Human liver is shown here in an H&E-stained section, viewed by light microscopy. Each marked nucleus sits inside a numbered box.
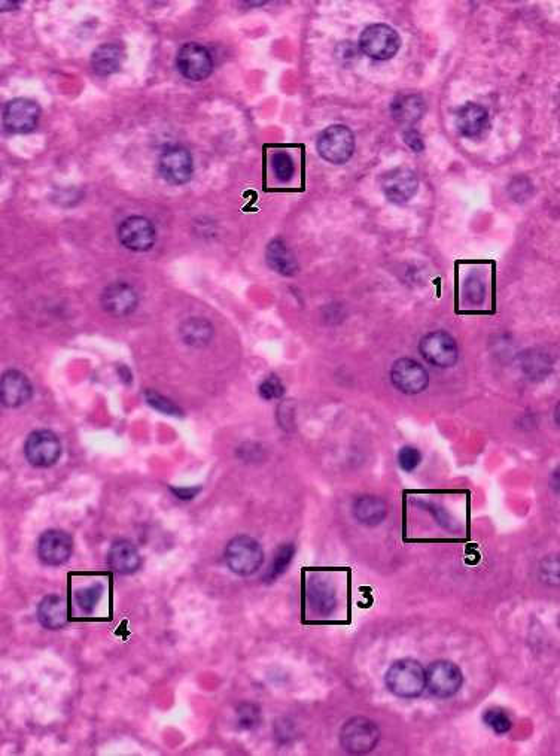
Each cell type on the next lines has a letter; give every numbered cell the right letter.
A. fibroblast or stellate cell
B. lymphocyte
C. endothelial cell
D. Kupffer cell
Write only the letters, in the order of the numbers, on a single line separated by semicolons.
D; B; D; C; A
